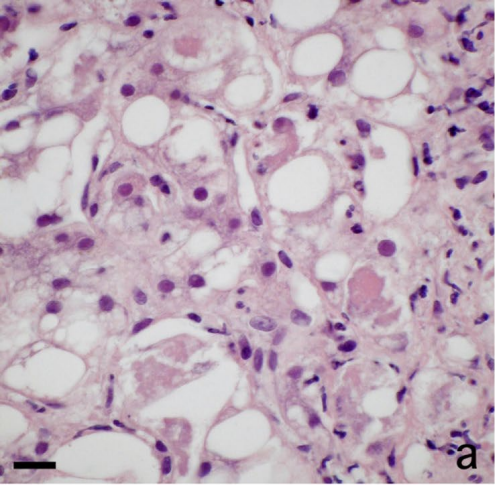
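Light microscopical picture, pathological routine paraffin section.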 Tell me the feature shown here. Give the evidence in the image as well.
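Many large round empty white vacuoles fill the cells. The vacuoles push nuclei to the cell edge. On this evidence: fat droplets.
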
